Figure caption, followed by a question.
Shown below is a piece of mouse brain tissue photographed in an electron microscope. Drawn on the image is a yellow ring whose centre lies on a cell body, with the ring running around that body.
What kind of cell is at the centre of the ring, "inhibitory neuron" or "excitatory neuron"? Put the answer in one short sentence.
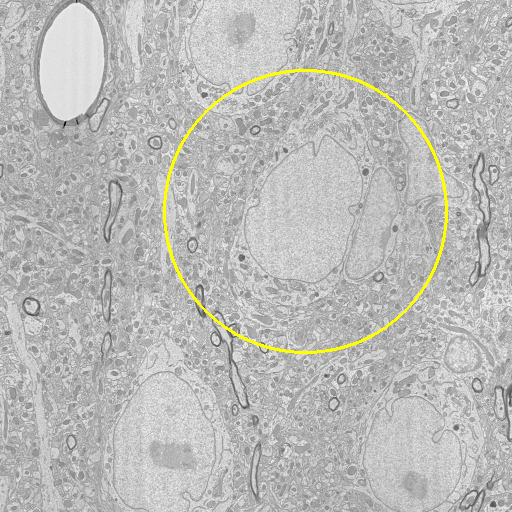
The ring marks the cell body of an excitatory neuron.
